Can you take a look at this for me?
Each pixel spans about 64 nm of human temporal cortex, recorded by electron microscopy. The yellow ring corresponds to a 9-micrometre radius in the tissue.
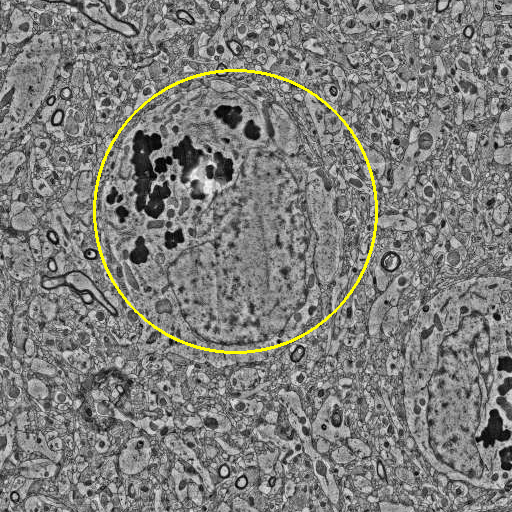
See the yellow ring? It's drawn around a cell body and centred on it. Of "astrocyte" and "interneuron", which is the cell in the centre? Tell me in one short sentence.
The one in the centre is an interneuron.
